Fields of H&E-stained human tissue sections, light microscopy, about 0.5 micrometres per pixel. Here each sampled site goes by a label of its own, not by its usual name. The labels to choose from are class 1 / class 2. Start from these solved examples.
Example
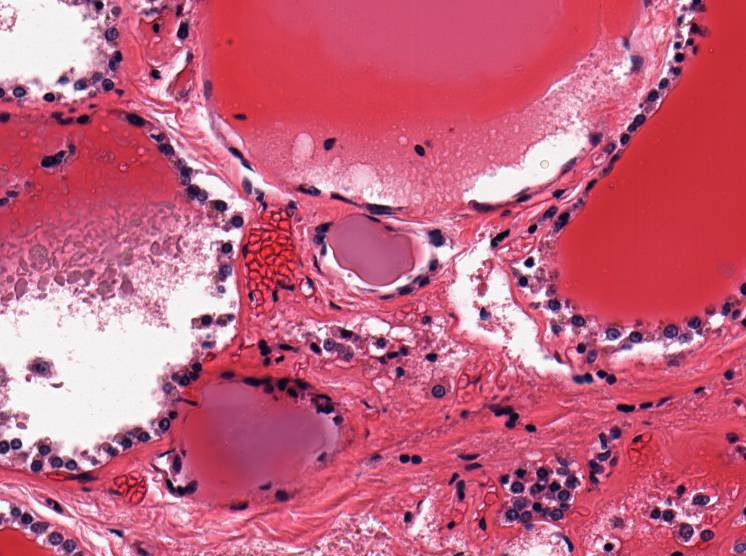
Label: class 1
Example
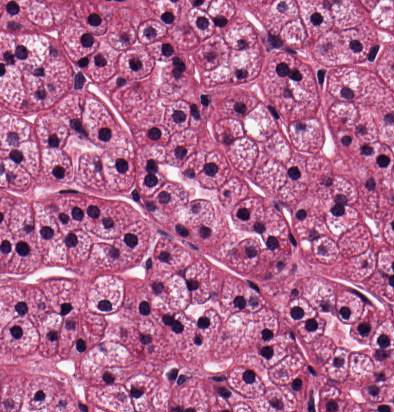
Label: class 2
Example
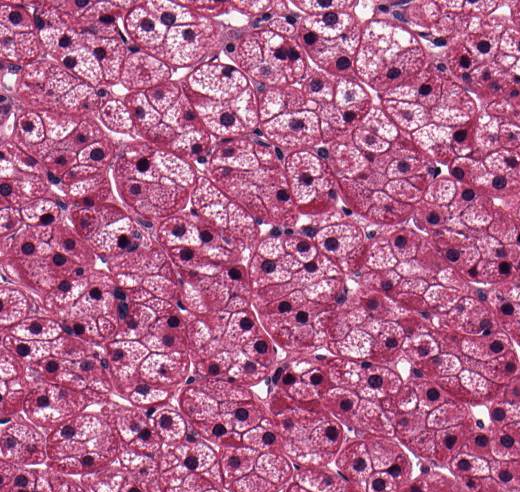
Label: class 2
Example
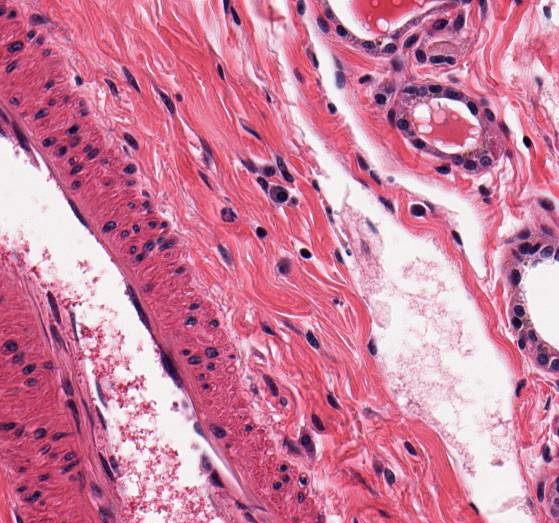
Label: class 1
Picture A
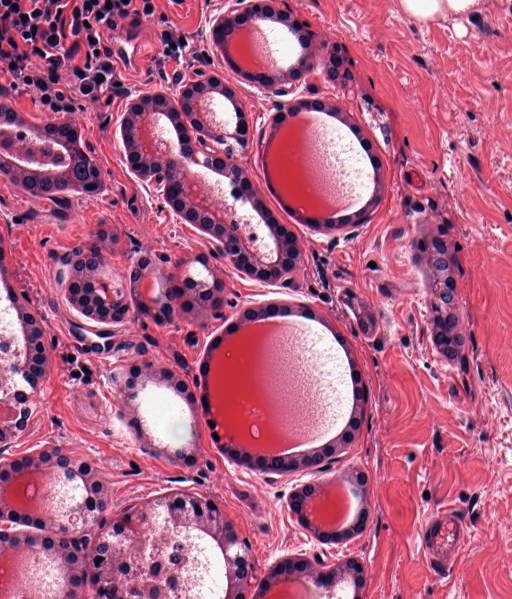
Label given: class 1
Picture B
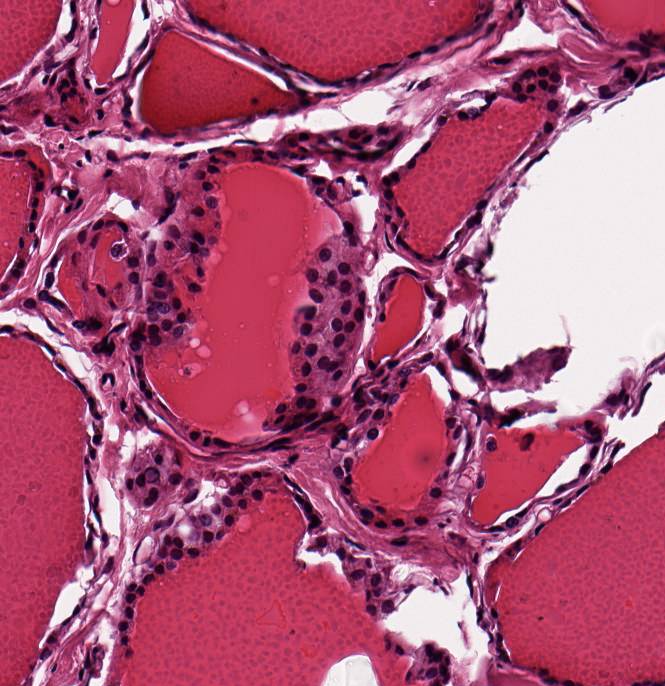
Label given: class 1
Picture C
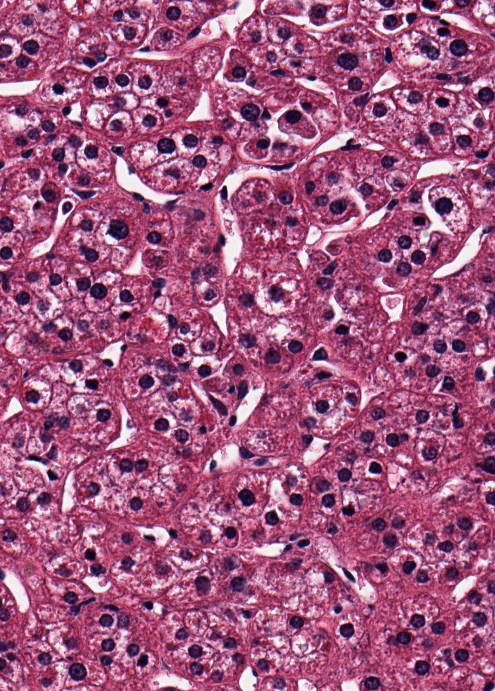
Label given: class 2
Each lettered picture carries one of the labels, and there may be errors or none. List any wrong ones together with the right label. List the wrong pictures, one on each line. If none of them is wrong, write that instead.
No label is wrong.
